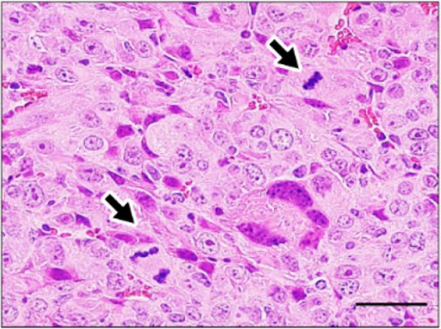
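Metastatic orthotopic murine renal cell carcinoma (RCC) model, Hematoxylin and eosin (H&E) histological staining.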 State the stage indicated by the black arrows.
Mitotic cells.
